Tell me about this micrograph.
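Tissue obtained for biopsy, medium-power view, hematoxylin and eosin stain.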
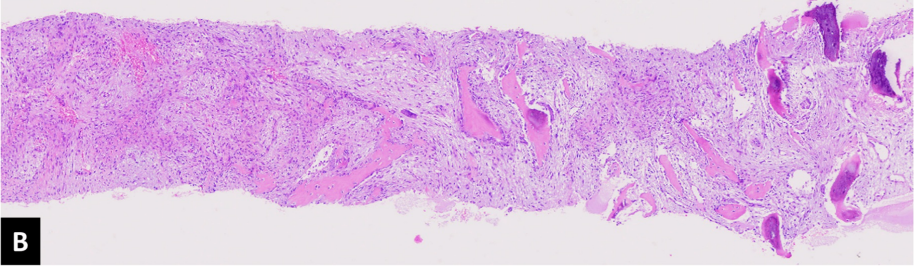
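This is a core of a spindle-cell lesion that shows a zonal arrangement from one end to the other. At the left end, densely packed spindle cells in a loose, pale stroma are seen, with small areas of red blood cells. Toward the middle, irregular pink trabeculae of osteoid appear among the spindle cells. At the right end, the trabeculae are more numerous and many are deep purple, reflecting calcification, with clear spaces between them.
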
